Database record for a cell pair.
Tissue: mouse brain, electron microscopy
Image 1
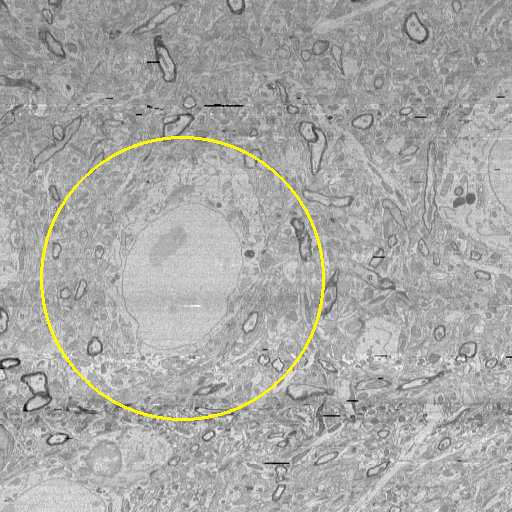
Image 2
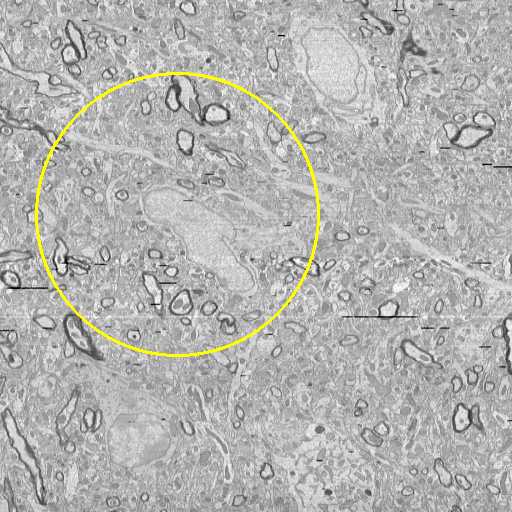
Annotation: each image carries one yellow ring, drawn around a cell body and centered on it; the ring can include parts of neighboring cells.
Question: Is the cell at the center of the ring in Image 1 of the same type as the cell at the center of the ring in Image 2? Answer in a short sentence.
No, the cells are of two types.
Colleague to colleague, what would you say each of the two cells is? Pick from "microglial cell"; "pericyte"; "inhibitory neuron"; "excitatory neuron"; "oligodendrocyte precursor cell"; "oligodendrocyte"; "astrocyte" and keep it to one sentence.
The cell in the first picture is an excitatory neuron; the second picture's cell is an oligodendrocyte precursor cell.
